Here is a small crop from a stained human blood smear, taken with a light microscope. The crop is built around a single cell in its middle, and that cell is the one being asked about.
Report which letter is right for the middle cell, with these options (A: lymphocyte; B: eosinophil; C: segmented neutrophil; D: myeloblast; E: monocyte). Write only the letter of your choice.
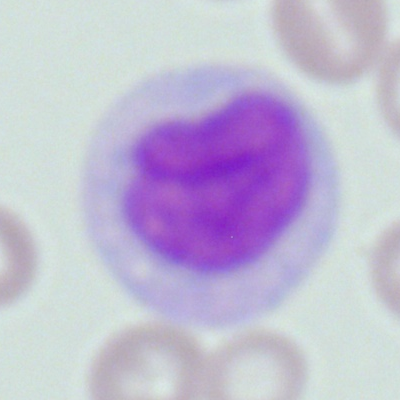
E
